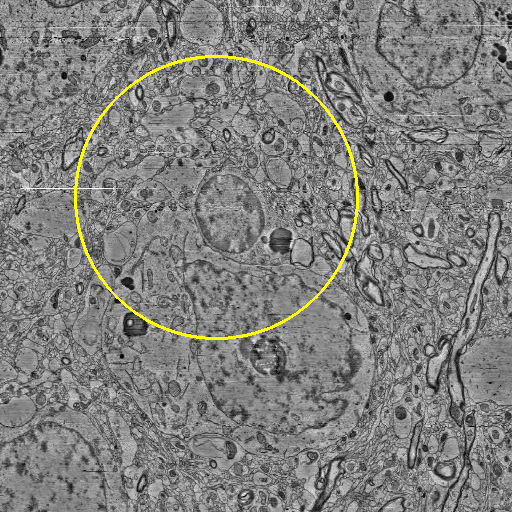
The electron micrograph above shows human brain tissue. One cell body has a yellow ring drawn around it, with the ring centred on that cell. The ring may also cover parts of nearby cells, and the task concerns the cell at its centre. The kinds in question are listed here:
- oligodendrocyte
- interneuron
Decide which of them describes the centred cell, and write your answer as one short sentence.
The centred cell is an oligodendrocyte.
